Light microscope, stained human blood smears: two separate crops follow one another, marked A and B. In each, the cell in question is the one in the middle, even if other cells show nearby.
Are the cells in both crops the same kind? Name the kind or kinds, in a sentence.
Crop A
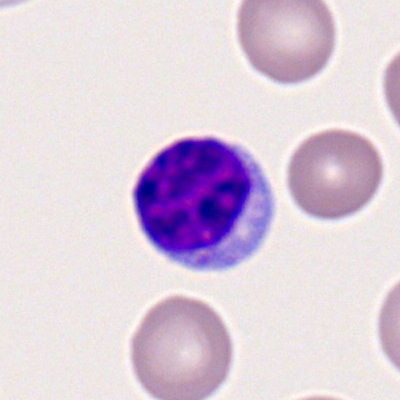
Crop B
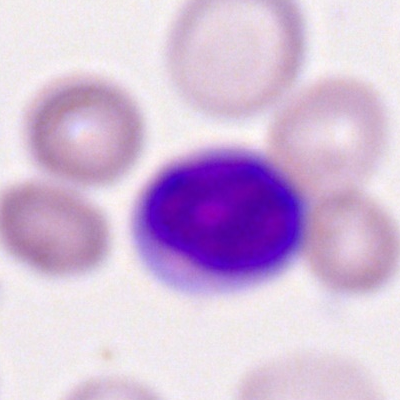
Yes, the two crops are alike in showing lymphocytes.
